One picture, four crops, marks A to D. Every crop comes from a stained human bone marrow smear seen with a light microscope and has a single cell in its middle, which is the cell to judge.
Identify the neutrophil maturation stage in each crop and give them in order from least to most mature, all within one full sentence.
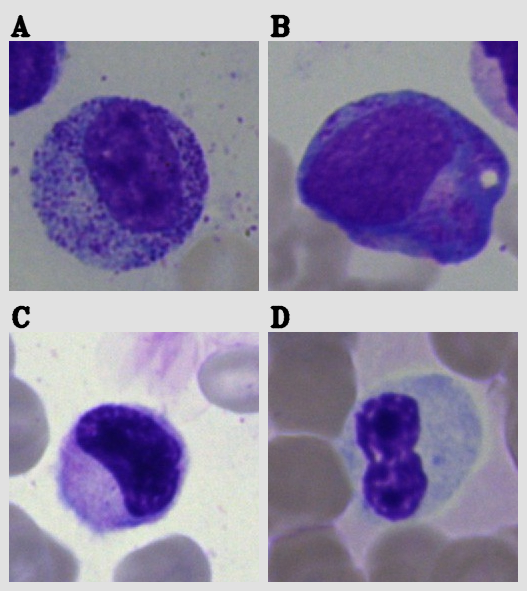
Ordered from the youngest stage to the most mature, the crops are crop B (a promyelocyte), crop A (a myelocyte), crop C (a metamyelocyte) and crop D (a band neutrophil).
